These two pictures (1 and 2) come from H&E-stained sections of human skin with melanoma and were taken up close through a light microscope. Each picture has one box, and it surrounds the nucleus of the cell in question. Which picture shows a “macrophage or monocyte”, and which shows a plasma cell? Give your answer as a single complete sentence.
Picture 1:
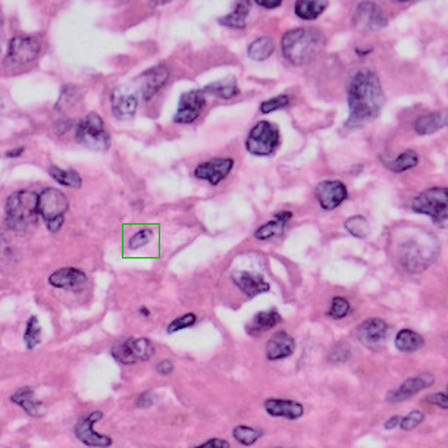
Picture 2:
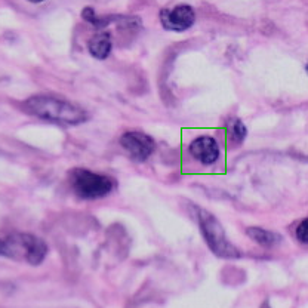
Picture 2 shows a plasma cell, while picture 1 shows a “macrophage or monocyte”.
